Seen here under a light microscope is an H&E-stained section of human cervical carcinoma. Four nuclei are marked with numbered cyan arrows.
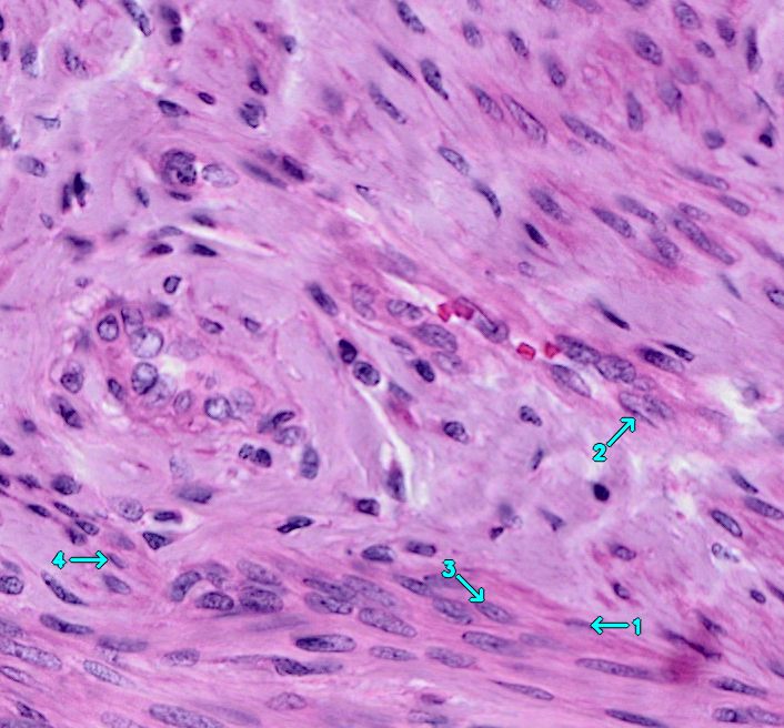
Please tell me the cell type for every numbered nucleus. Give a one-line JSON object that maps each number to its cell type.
{"1": "smooth muscle cell", "2": "endothelial cell", "3": "smooth muscle cell", "4": "smooth muscle cell"}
